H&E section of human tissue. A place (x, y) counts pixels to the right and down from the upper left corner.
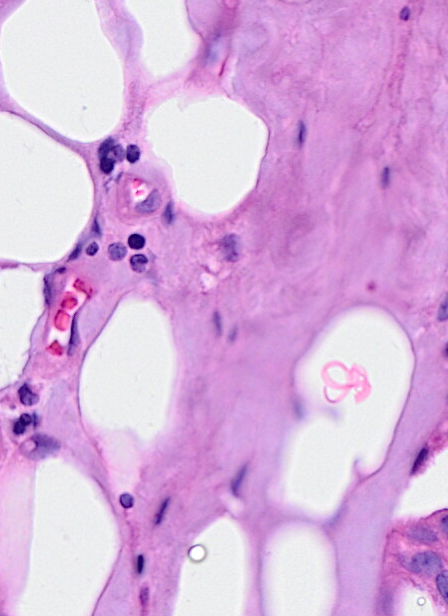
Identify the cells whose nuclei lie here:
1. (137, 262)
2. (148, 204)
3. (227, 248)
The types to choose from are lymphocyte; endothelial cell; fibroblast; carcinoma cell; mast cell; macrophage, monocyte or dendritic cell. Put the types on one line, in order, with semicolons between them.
lymphocyte; endothelial cell; fibroblast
